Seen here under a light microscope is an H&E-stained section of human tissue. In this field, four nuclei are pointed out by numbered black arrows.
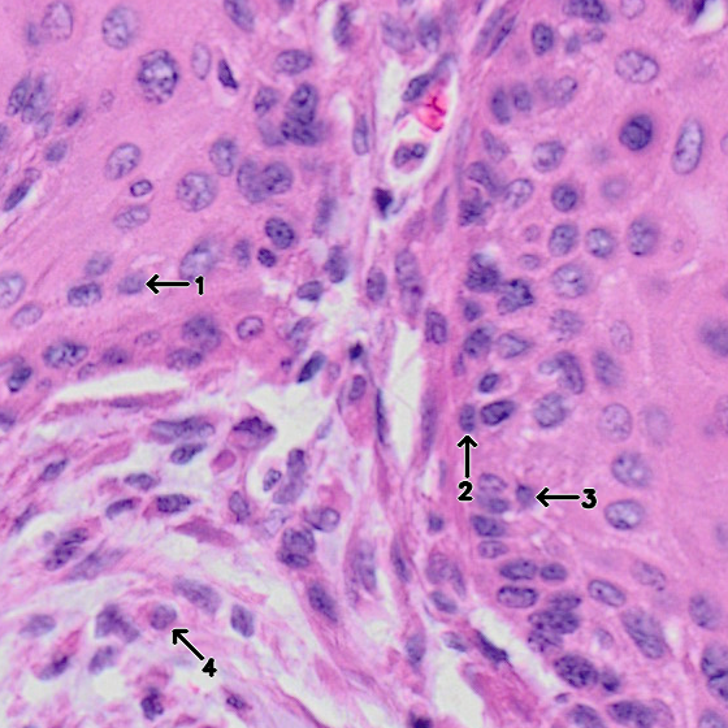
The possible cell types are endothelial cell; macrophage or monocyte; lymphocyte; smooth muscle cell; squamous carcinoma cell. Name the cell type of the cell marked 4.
macrophage or monocyte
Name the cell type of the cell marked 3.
squamous carcinoma cell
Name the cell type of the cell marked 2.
squamous carcinoma cell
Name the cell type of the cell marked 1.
squamous carcinoma cell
